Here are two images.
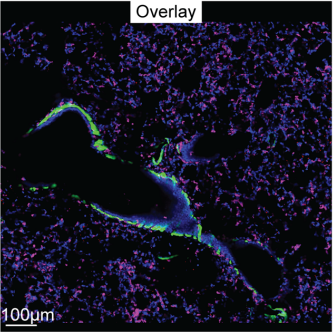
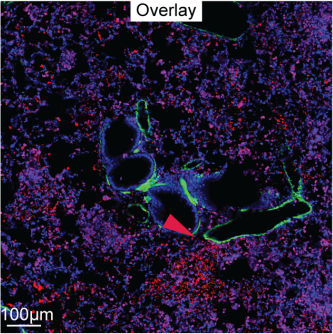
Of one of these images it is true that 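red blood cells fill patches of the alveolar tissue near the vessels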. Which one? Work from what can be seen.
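First image: almost no red signal is seen in the tissue around the vessel. On this evidence: the second image.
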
